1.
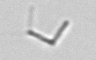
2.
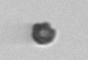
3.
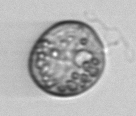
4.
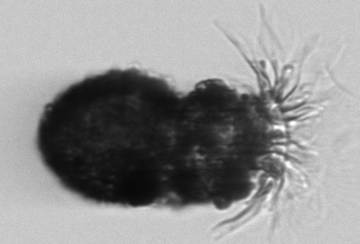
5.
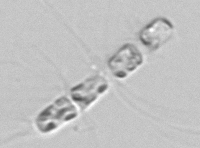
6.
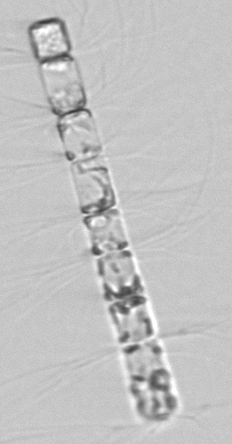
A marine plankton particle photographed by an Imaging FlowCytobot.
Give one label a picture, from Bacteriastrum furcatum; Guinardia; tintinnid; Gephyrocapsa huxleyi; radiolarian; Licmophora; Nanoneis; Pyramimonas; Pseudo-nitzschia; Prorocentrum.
Picture 1: Nanoneis
Picture 2: Gephyrocapsa huxleyi
Picture 3: Prorocentrum
Picture 4: tintinnid
Picture 5: Bacteriastrum furcatum
Picture 6: Bacteriastrum furcatum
